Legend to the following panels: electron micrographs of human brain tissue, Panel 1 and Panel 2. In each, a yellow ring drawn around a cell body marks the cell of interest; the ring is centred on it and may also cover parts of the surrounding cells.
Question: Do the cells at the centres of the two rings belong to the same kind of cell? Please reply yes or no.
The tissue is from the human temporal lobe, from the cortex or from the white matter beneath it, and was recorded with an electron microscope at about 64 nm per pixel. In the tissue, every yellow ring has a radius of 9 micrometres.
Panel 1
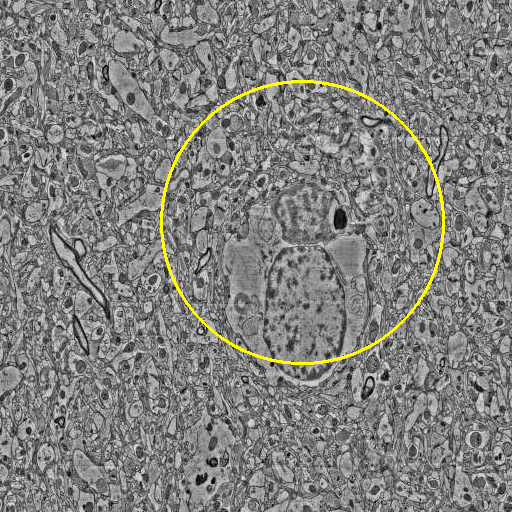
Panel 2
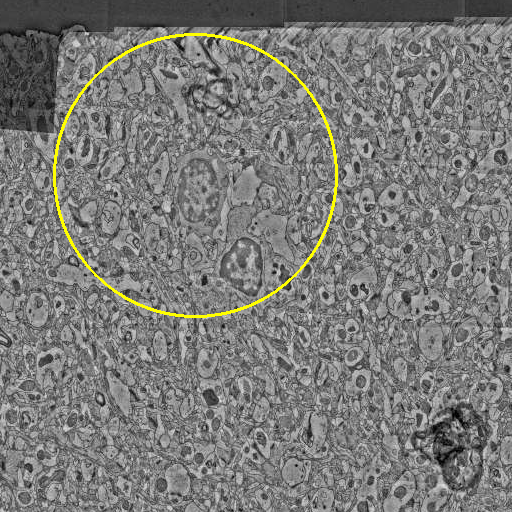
yes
